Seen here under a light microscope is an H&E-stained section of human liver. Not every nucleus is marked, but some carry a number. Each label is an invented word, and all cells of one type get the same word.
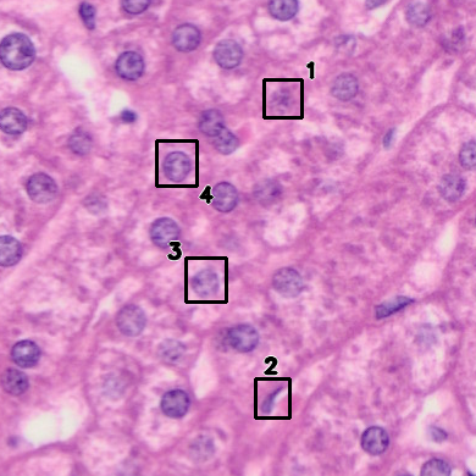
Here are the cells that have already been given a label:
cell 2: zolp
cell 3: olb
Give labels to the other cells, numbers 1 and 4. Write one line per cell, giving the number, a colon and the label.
1: olb
4: olb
